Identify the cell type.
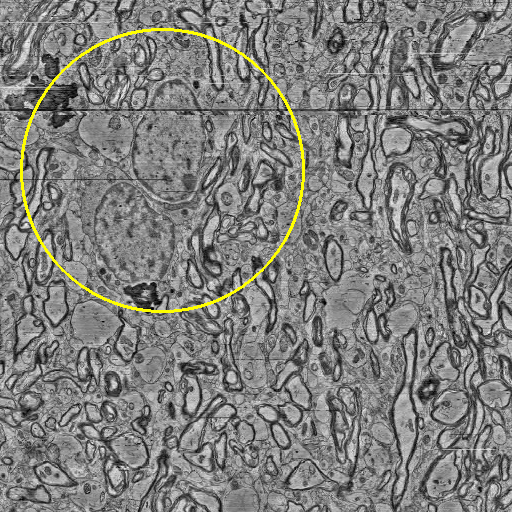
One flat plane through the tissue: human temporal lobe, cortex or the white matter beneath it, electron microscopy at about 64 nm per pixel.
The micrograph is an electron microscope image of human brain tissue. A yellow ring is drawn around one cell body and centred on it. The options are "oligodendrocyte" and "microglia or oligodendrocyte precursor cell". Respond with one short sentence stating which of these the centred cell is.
The cell body in the ring belongs to a microglial cell or oligodendrocyte precursor cell.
